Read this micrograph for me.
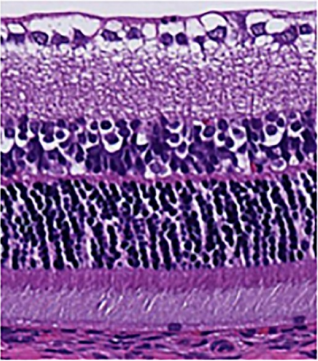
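Full-thickness retina in cross-section, layers intact and sharply ordered. At the top a single row of ganglion cells with round nuclei and pale cytoplasm, some cell bodies clear. Beneath, a broad pale pink fibrillar inner plexiform layer. Then the inner nuclear layer: several rows of round, purple nuclei, some cells with clear halos. A thin pink outer plexiform layer separates it from the thick outer nuclear layer of many rows of small, dark, oval photoreceptor nuclei arranged in vertical columns. Below, a pink inner segment band and pale striated outer segments, then a thin flattened pigment epithelium over pink choroidal tissue.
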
